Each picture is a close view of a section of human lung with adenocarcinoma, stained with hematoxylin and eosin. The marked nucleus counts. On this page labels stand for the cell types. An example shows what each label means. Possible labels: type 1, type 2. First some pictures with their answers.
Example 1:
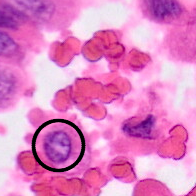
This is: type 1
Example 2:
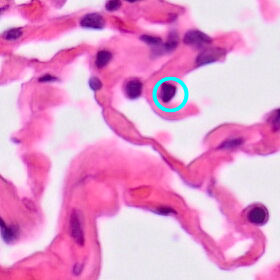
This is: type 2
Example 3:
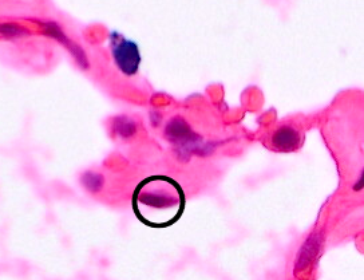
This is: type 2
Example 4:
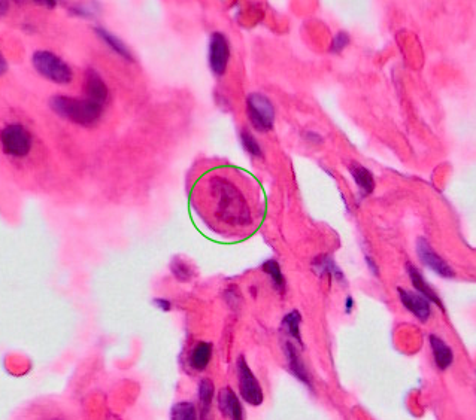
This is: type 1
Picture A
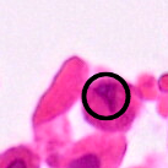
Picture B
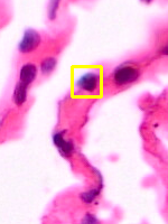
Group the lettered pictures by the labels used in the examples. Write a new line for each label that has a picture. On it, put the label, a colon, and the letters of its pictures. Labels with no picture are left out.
type 1: A
type 2: B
